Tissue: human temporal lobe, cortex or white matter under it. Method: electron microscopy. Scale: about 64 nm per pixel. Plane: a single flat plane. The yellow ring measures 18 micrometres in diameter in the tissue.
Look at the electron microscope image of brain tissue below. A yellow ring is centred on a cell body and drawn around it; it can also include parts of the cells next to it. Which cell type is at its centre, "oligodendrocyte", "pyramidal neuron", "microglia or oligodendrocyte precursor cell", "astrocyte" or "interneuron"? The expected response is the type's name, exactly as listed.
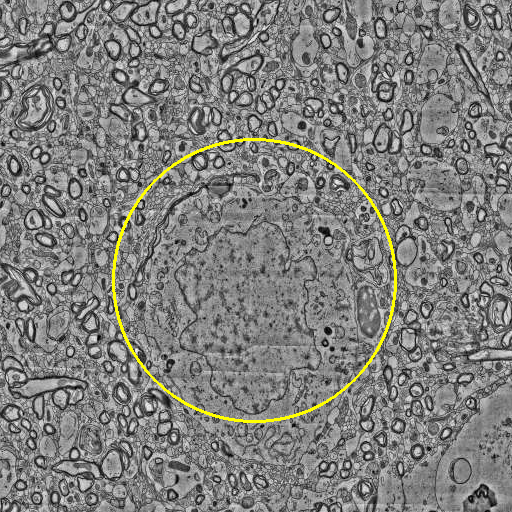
pyramidal neuron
